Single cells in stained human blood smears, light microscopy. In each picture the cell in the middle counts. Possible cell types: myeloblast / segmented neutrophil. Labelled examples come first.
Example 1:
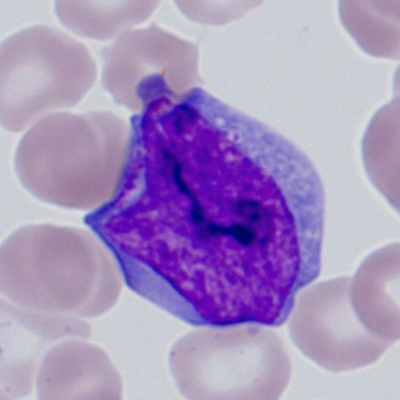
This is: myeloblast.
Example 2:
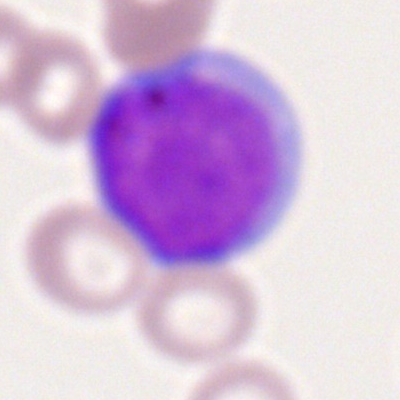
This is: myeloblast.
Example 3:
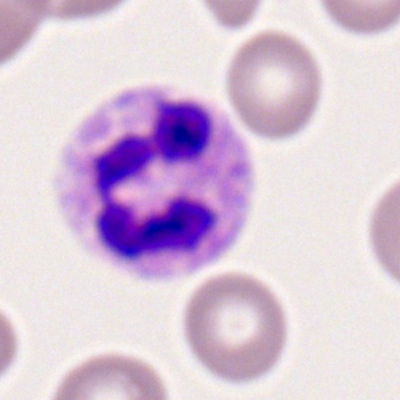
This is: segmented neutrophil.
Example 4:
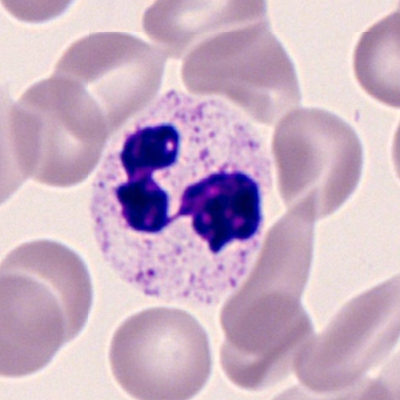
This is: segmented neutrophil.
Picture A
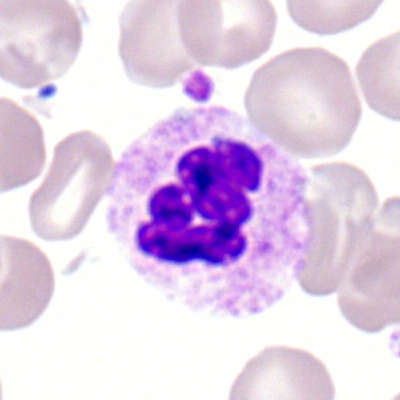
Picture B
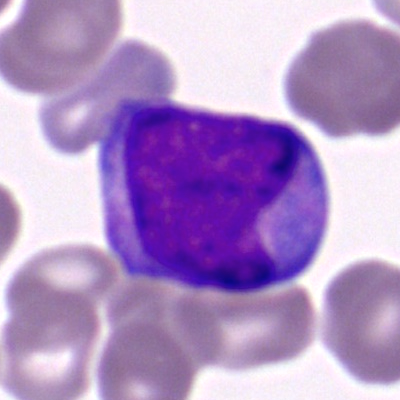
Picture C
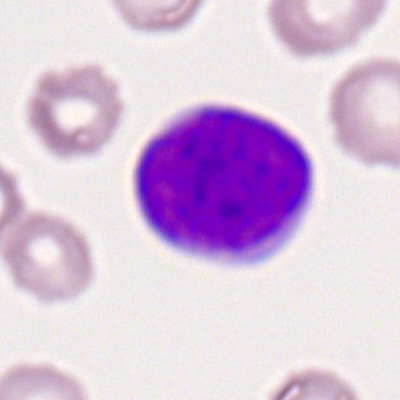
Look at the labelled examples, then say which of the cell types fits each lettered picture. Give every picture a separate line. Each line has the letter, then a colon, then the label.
A: segmented neutrophil.
B: myeloblast.
C: myeloblast.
